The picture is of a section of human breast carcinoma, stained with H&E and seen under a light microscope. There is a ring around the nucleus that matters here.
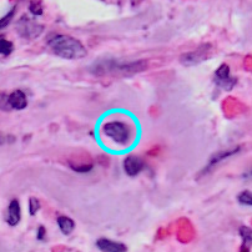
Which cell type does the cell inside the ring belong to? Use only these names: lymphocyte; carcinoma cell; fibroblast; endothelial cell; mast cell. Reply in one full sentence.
Right, so the cell inside the ring is a lymphocyte, to answer that.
